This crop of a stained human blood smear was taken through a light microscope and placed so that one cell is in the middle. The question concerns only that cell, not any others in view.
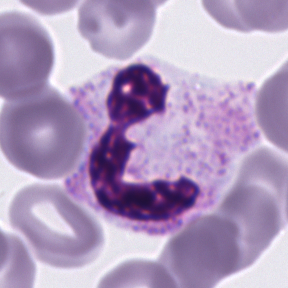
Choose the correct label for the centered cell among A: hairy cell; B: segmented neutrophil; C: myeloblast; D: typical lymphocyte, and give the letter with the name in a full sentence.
Option B is right in identifying the central cell as a segmented neutrophil.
